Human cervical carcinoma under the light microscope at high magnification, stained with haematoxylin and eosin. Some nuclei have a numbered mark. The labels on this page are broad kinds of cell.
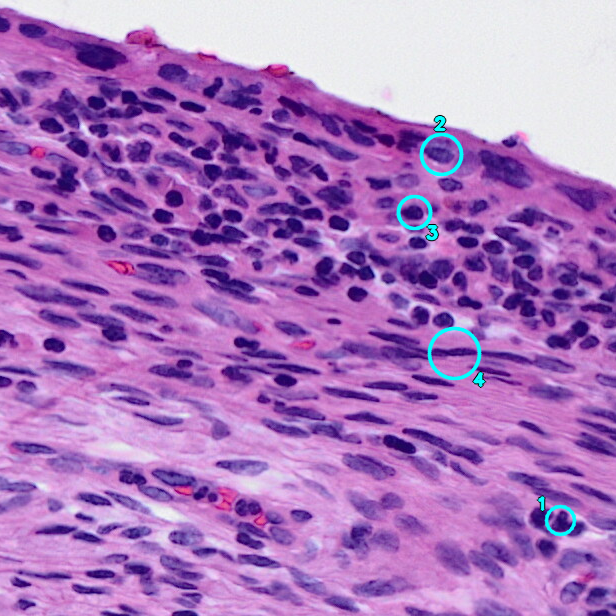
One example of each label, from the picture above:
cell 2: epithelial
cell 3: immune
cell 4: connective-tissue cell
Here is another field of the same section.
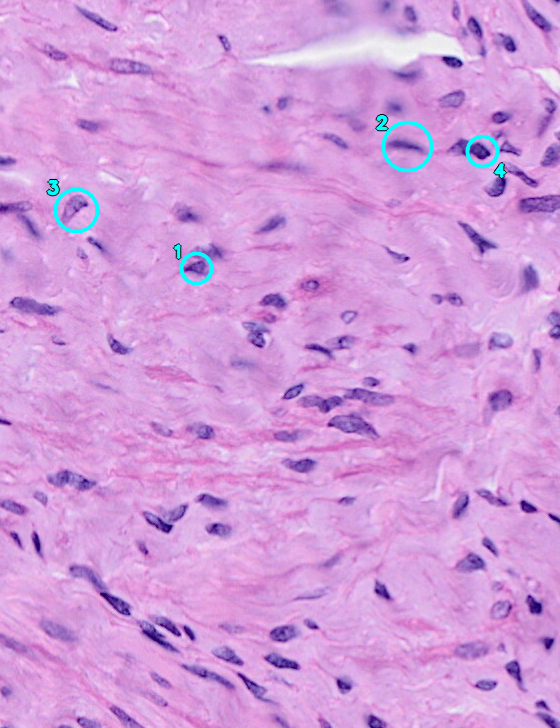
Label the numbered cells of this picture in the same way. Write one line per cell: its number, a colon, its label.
1: connective-tissue cell
2: connective-tissue cell
3: connective-tissue cell
4: immune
